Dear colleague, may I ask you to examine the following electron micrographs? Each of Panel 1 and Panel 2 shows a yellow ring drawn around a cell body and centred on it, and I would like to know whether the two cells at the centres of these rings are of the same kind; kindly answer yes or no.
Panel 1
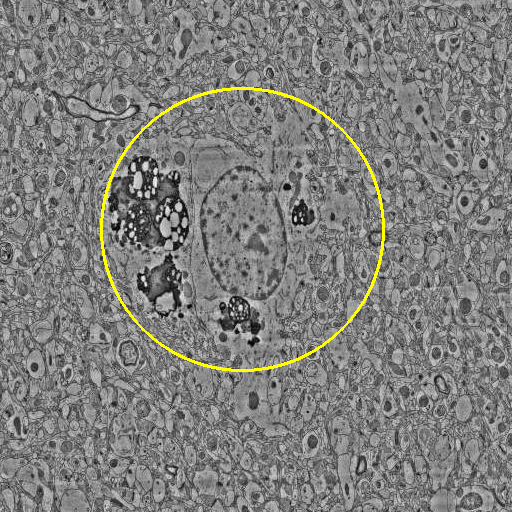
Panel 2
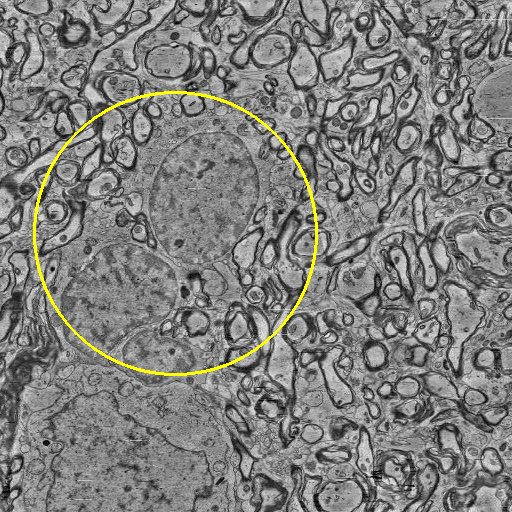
no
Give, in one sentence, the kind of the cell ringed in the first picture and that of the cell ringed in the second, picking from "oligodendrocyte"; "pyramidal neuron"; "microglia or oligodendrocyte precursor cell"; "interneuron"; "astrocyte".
For the first picture it is an astrocyte; for the second, an oligodendrocyte.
